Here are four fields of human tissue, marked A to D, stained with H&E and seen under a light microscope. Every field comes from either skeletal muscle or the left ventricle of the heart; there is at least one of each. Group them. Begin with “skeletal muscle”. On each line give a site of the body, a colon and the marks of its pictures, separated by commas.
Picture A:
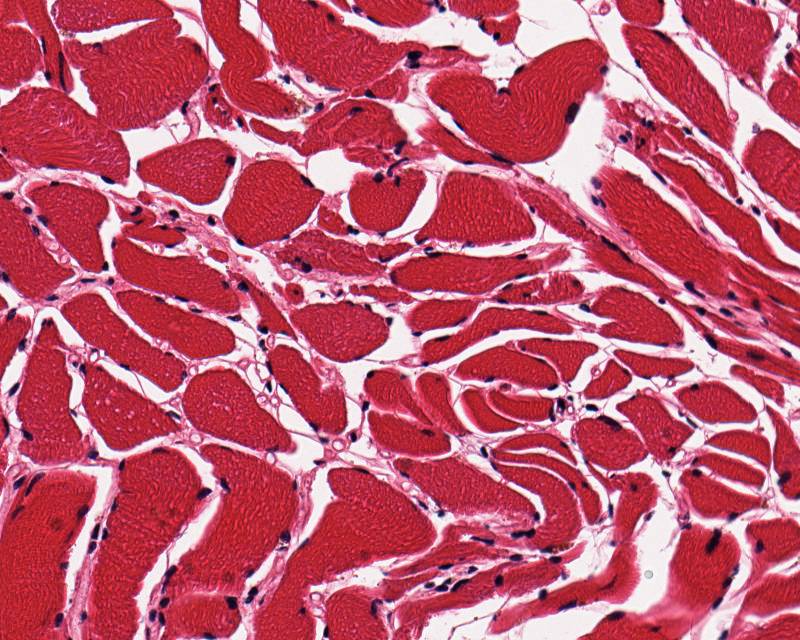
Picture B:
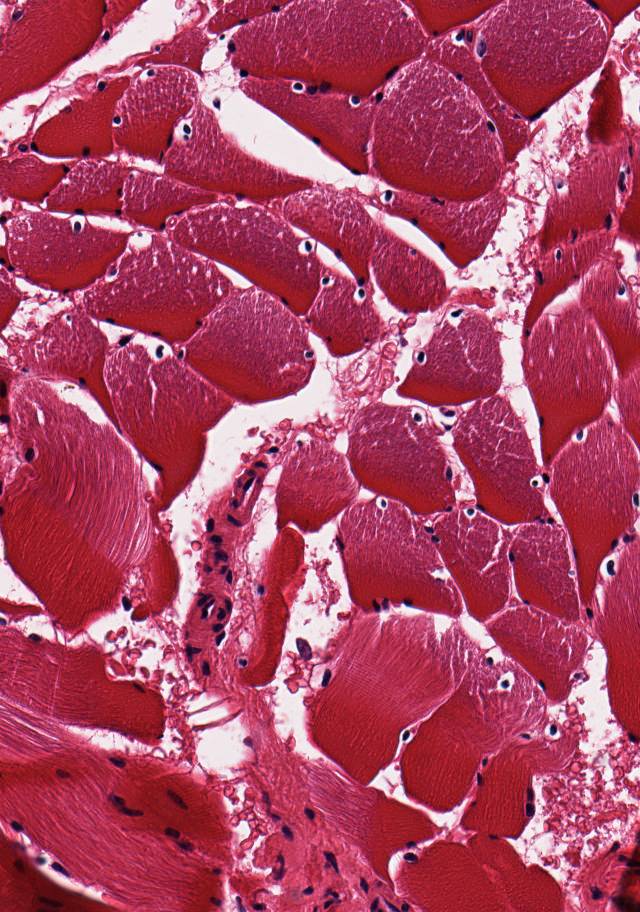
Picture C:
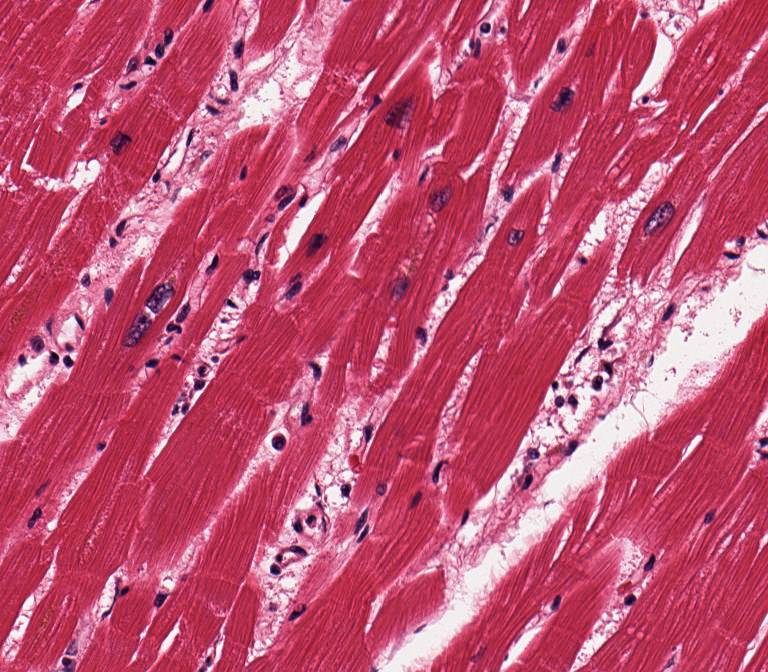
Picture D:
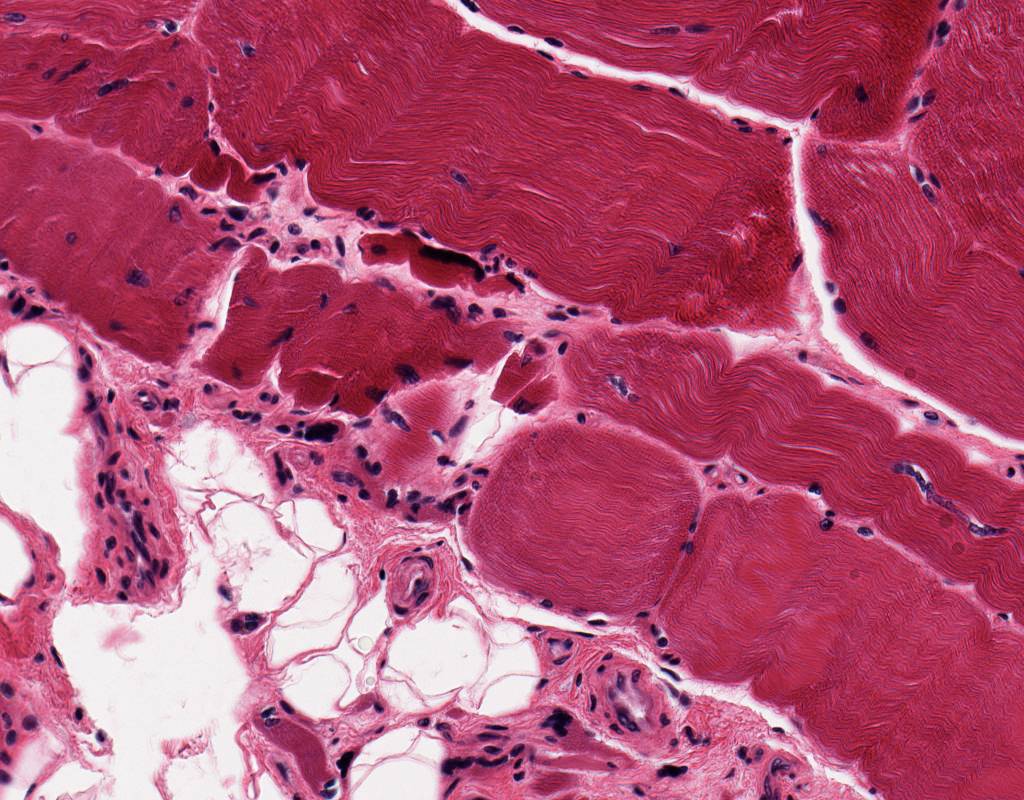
skeletal muscle: A, B, D
left ventricle of the heart: C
